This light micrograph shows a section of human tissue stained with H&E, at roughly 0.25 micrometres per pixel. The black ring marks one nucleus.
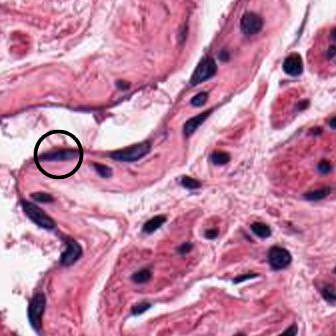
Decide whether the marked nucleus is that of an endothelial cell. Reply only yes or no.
yes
